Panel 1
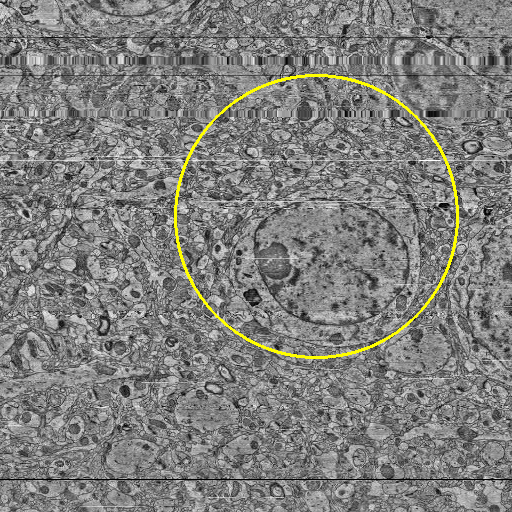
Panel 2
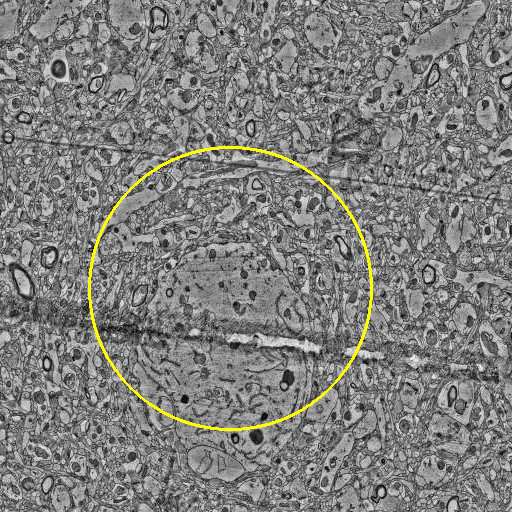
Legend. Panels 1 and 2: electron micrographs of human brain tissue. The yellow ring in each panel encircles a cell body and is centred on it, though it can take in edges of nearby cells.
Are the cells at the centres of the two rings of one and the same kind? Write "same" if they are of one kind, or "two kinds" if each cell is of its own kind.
same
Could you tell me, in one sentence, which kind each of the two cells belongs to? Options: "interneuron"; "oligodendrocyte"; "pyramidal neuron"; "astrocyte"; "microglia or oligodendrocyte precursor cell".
Each of the two rings surrounds a pyramidal neuron.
